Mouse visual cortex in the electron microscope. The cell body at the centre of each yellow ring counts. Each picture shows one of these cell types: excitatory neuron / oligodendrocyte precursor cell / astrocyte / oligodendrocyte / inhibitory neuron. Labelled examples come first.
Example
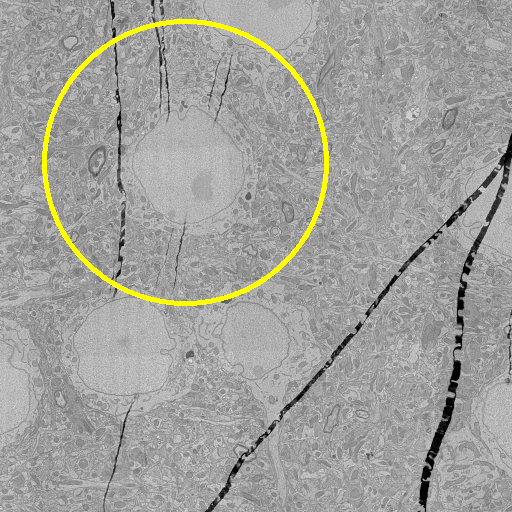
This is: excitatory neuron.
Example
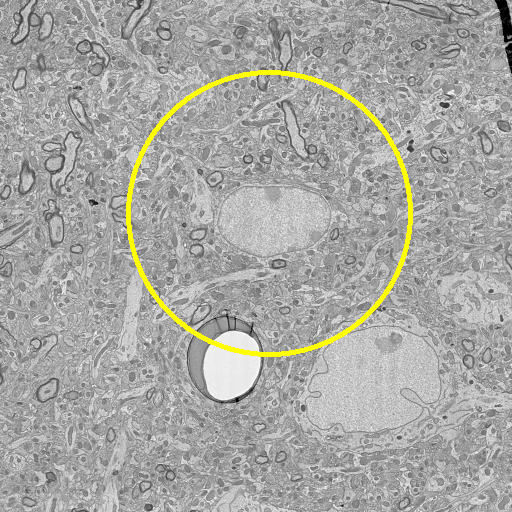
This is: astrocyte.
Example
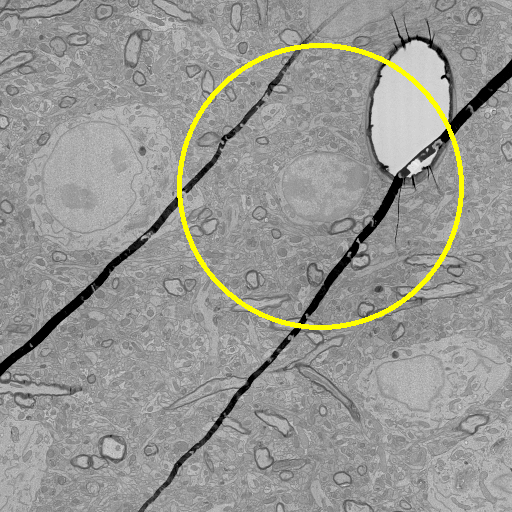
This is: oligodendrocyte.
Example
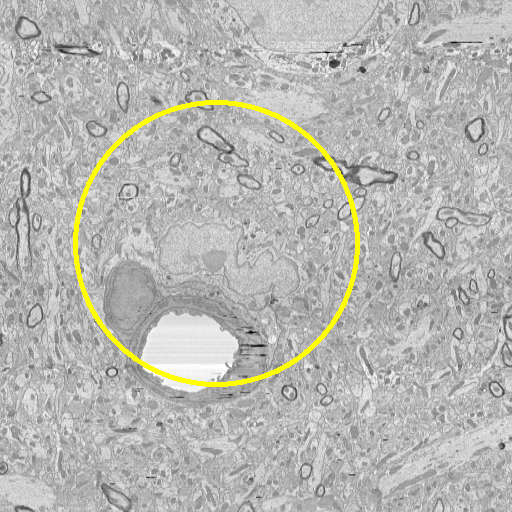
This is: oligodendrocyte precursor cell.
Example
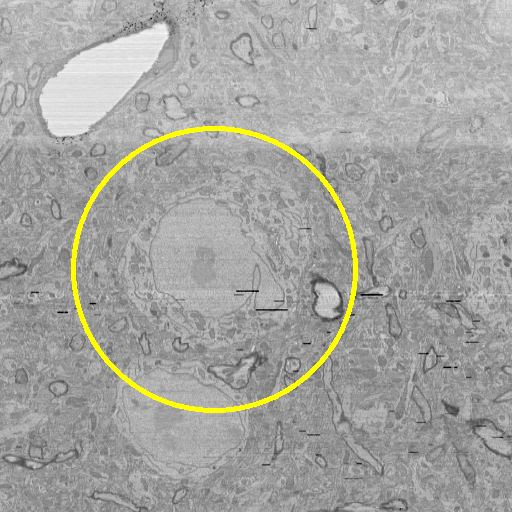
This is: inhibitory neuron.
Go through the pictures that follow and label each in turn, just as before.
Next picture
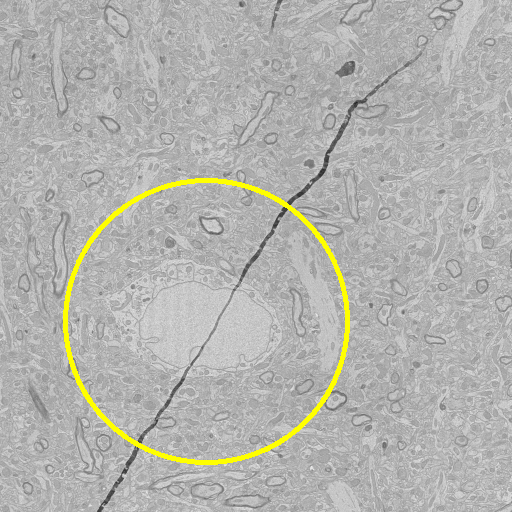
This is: inhibitory neuron.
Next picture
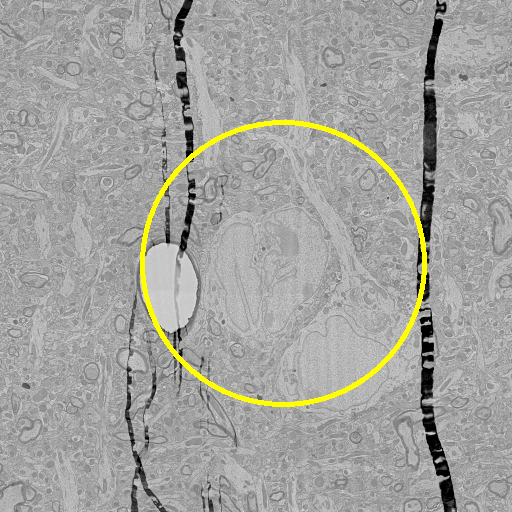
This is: oligodendrocyte precursor cell.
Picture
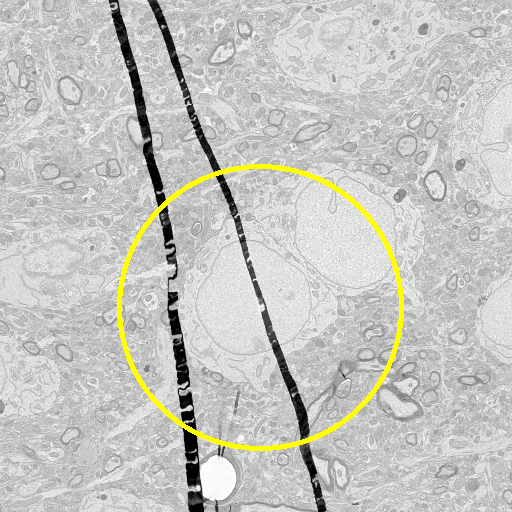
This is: excitatory neuron.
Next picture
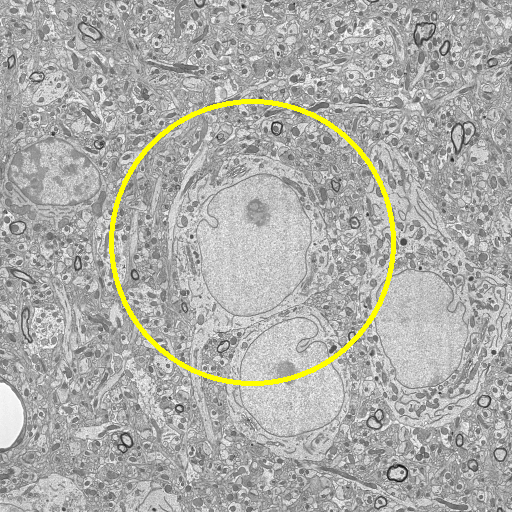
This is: excitatory neuron.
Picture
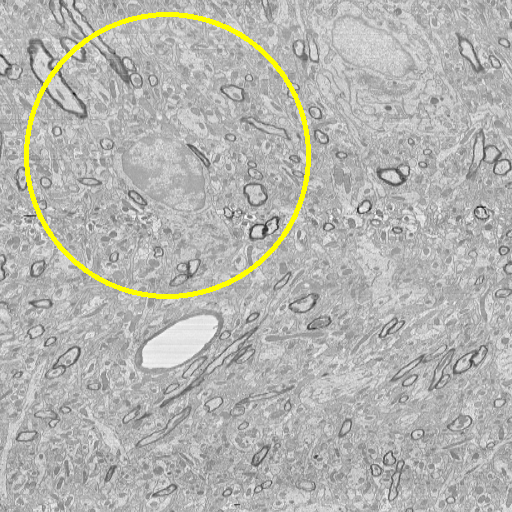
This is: oligodendrocyte.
